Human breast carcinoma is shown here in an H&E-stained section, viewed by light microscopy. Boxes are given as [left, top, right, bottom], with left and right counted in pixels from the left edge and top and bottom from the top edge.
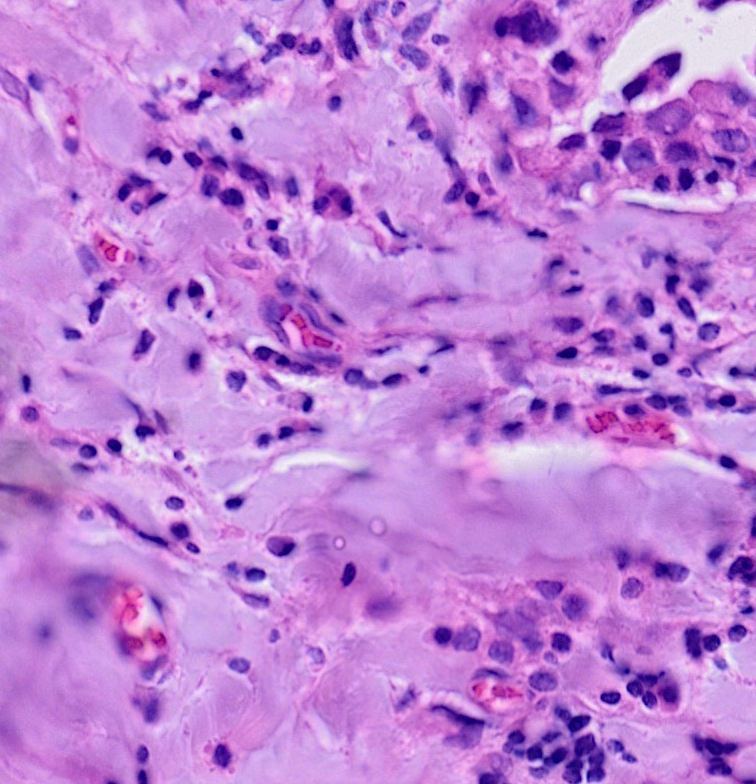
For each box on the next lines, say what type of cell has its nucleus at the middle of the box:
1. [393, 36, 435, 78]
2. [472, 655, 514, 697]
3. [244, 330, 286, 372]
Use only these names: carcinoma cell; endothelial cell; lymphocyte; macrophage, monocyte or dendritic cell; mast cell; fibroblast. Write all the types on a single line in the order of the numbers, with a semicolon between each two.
mast cell; endothelial cell; lymphocyte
